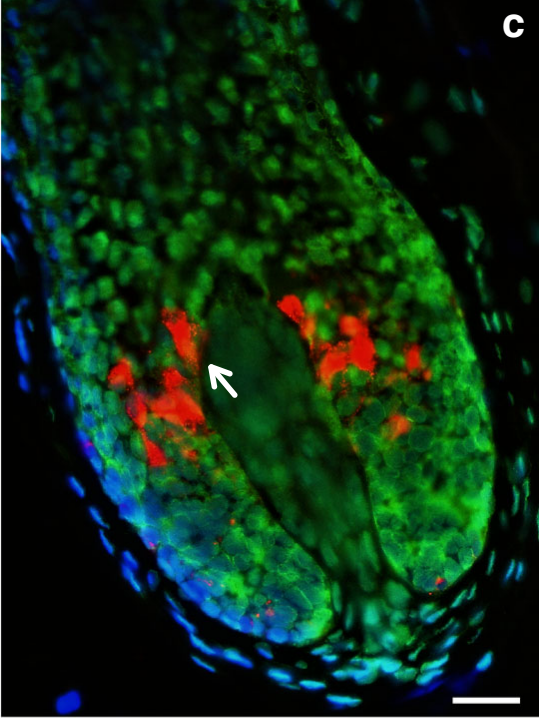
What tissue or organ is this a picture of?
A: hair follicle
